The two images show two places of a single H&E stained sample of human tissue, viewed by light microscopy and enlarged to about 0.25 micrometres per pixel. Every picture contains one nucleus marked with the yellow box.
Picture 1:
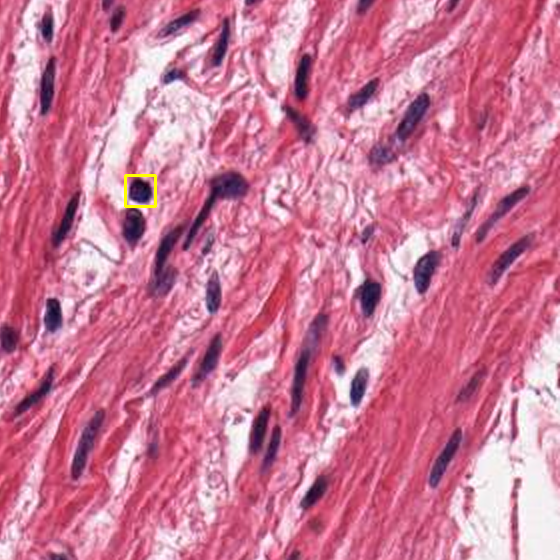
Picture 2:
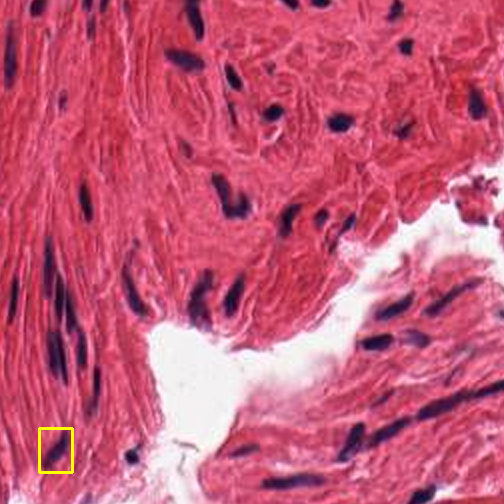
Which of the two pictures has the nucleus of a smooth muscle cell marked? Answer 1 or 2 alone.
2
